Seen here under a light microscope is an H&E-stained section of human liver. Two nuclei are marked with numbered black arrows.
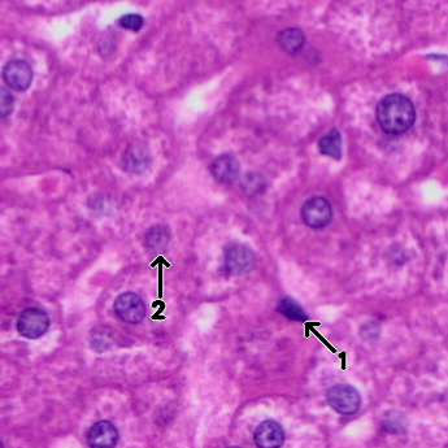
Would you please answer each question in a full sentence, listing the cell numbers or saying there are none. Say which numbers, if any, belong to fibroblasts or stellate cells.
Only at number 1 is there a fibroblast or stellate cell among the marked cells.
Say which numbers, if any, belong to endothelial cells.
Zero of the numbered cells are endothelial cells.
